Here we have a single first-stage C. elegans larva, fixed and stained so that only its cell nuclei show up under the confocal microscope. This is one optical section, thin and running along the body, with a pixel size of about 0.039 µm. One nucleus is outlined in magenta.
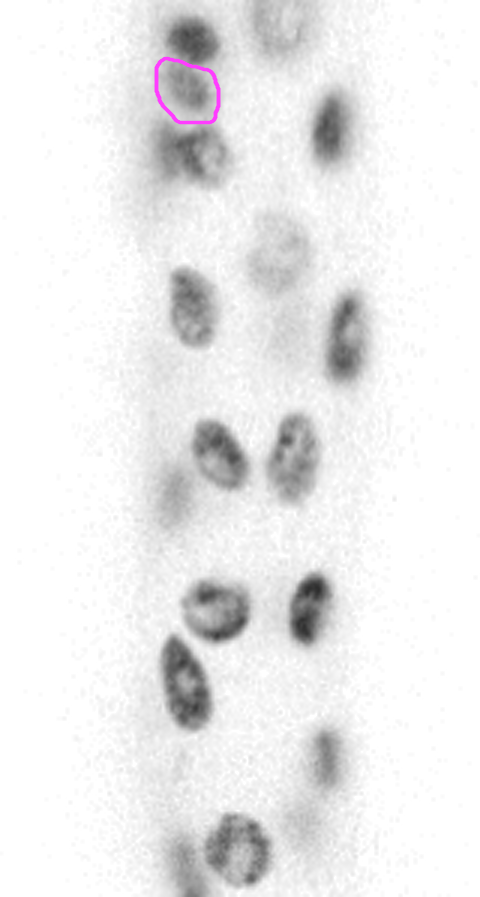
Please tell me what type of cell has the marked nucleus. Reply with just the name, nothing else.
somatic gonad precursor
